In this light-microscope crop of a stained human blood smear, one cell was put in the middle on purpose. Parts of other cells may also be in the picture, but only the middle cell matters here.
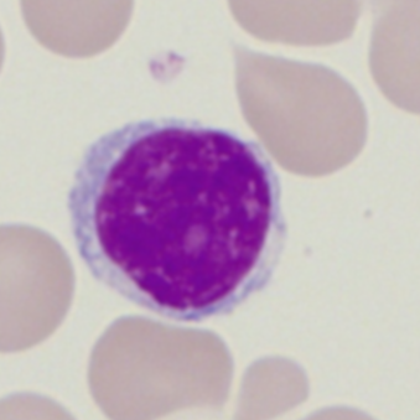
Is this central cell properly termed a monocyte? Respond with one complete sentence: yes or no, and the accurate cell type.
No, the central cell is not a monocyte; it is a lymphocyte.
